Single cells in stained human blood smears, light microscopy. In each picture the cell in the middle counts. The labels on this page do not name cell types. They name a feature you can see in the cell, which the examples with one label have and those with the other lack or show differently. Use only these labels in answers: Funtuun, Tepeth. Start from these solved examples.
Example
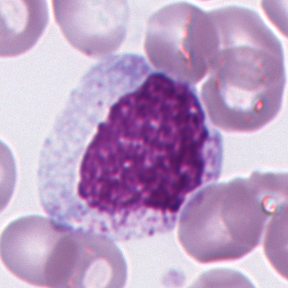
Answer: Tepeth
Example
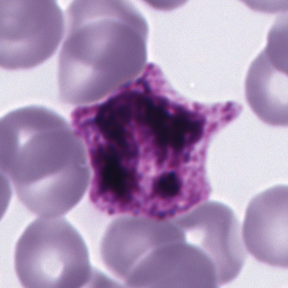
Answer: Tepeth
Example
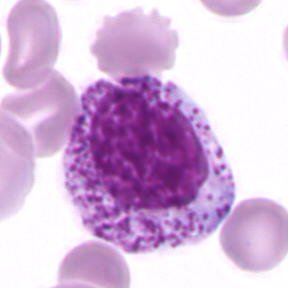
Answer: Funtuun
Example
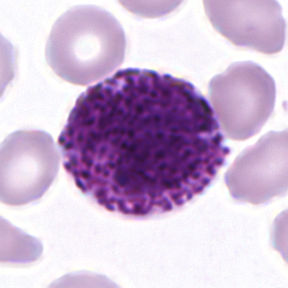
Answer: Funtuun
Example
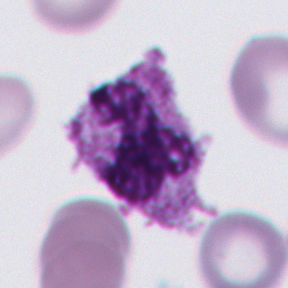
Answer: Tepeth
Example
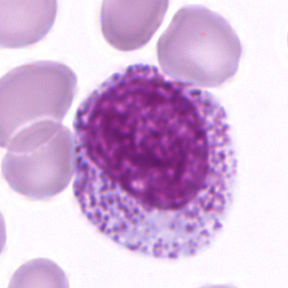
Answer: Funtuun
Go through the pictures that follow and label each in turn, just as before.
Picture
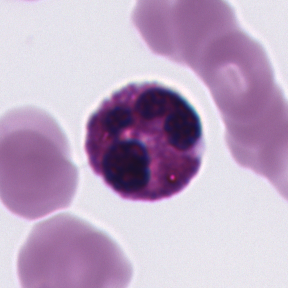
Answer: Tepeth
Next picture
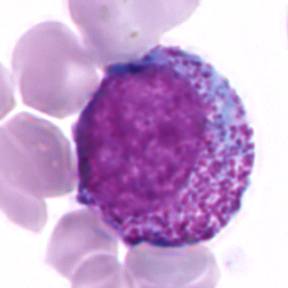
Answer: Funtuun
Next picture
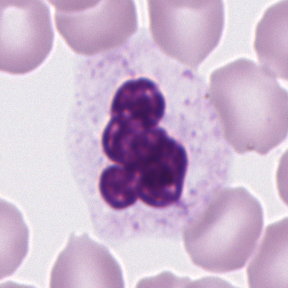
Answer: Tepeth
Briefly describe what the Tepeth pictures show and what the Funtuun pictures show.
In Tepeth: fine or small granules. In Funtuun: coarse or large granules.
